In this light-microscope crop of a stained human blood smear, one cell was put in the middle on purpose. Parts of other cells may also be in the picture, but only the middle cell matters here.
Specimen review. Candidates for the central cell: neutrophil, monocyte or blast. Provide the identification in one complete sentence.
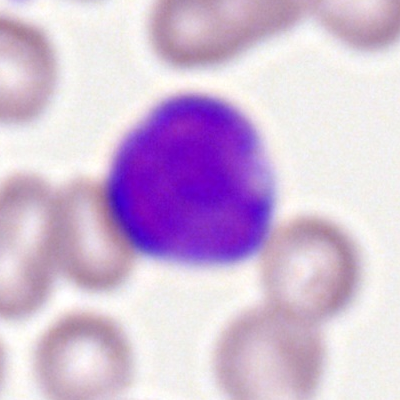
Here the centrally located cell is a blast.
